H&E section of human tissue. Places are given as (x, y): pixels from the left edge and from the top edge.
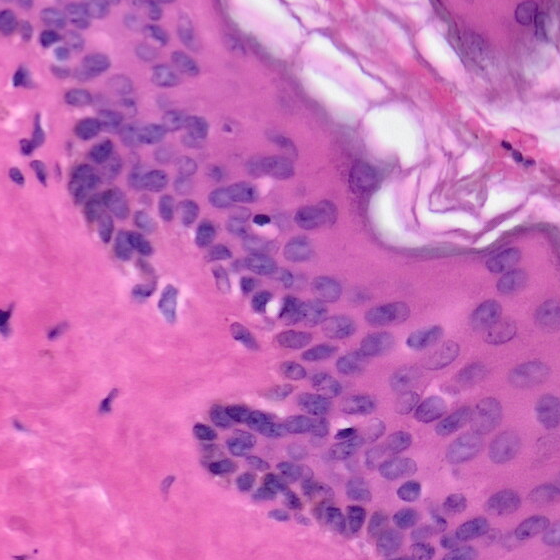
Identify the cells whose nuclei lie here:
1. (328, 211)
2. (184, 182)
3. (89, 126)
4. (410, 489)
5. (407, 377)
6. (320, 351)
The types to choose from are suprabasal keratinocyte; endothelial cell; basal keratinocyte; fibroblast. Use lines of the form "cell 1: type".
cell 1: suprabasal keratinocyte
cell 2: suprabasal keratinocyte
cell 3: basal keratinocyte
cell 4: basal keratinocyte
cell 5: suprabasal keratinocyte
cell 6: basal keratinocyte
